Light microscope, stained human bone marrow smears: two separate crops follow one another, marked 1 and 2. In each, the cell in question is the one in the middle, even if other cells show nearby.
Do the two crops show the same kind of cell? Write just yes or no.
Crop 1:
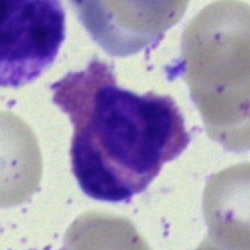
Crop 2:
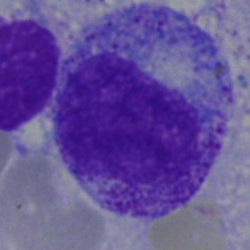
no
